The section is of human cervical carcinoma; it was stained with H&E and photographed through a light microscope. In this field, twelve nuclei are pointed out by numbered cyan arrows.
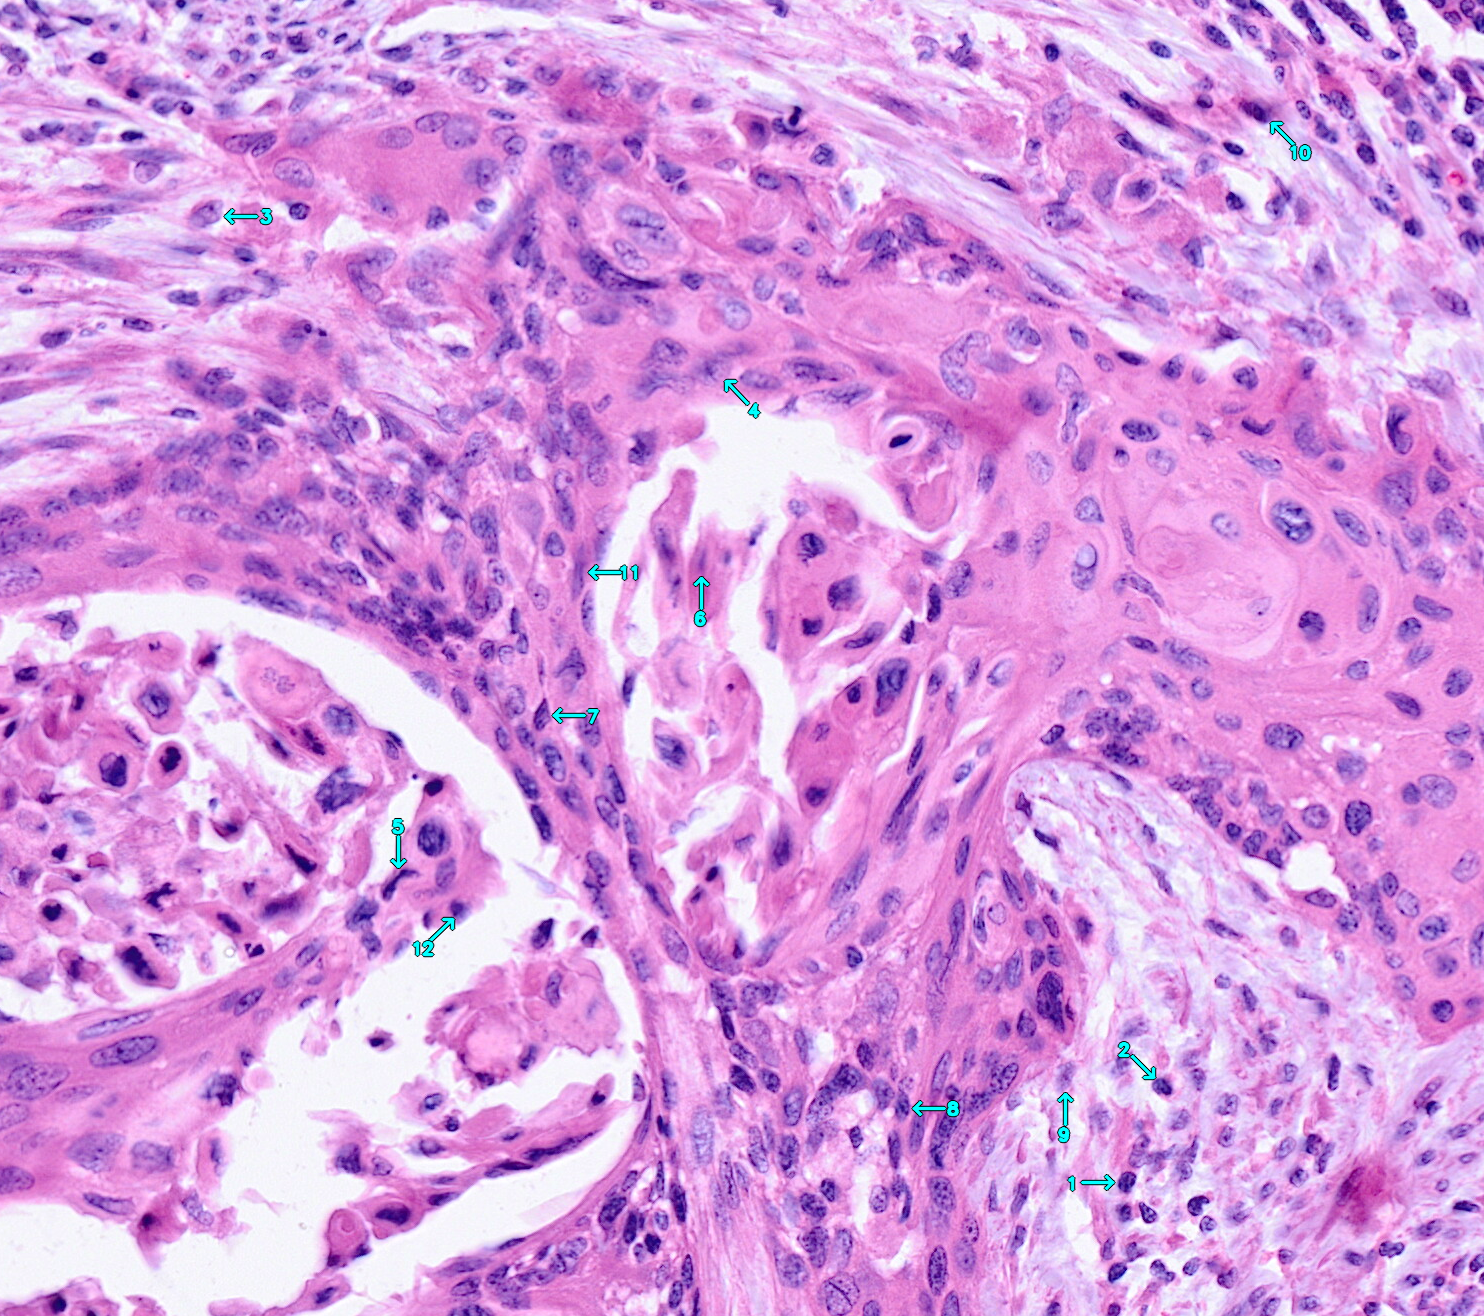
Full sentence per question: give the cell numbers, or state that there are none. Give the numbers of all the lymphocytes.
Classified as lymphocytes are the cells numbered 1, 2 and 10.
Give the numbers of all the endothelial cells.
None of the numbered cells is one of the endothelial cells.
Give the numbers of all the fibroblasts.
Cell 9 represents a fibroblast, and no other numbered cell does.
